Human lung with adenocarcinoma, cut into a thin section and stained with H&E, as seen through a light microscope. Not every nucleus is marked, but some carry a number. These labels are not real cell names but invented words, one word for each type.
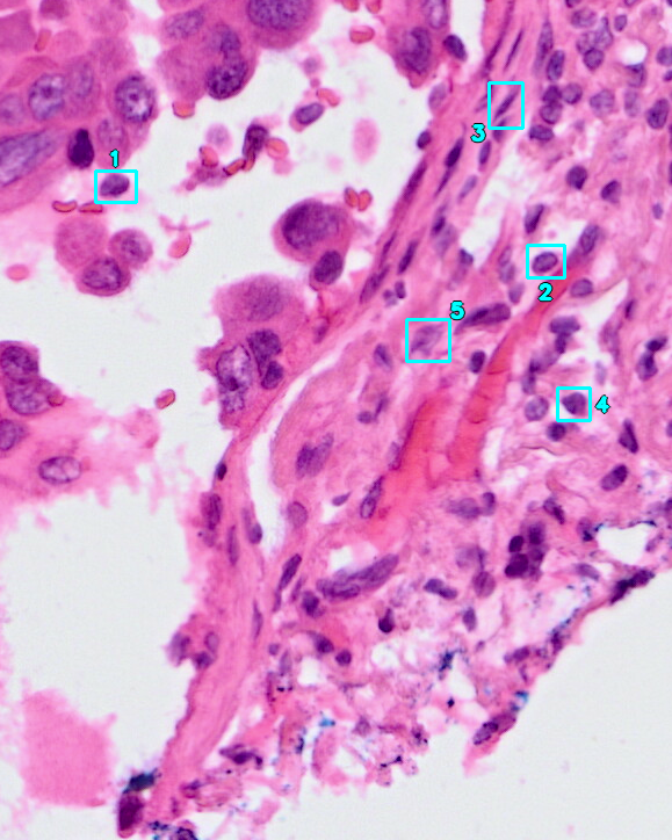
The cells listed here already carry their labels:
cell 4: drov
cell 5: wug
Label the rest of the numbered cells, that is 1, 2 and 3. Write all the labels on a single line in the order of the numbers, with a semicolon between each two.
drov; drov; wug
